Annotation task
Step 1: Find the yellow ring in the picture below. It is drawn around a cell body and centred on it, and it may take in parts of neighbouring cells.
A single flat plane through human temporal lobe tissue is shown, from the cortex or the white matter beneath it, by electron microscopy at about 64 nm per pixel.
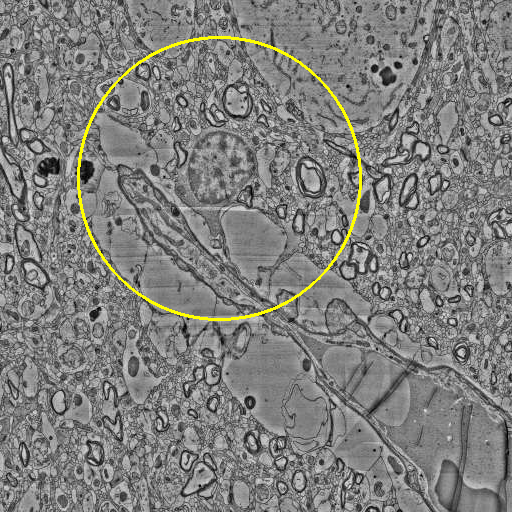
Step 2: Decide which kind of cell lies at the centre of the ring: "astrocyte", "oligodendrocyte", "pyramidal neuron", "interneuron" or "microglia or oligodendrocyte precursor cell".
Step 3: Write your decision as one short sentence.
The kind of cell at the ring's centre is an oligodendrocyte.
